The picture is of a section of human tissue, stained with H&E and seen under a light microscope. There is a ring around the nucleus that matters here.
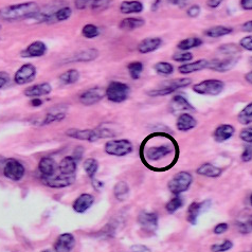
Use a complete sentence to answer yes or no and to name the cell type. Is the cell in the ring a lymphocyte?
Yes, the cell in the ring has been classified as a lymphocyte.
